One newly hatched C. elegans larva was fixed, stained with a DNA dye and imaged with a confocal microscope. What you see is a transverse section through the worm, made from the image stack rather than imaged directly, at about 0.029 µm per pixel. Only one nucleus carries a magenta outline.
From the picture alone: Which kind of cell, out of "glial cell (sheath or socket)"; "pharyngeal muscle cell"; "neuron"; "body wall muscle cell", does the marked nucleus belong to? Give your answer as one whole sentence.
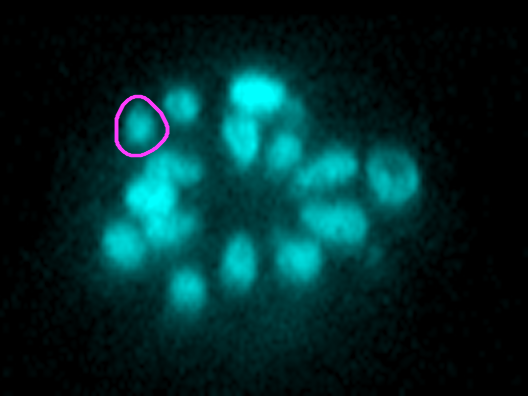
It is the nucleus of a body wall muscle cell.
